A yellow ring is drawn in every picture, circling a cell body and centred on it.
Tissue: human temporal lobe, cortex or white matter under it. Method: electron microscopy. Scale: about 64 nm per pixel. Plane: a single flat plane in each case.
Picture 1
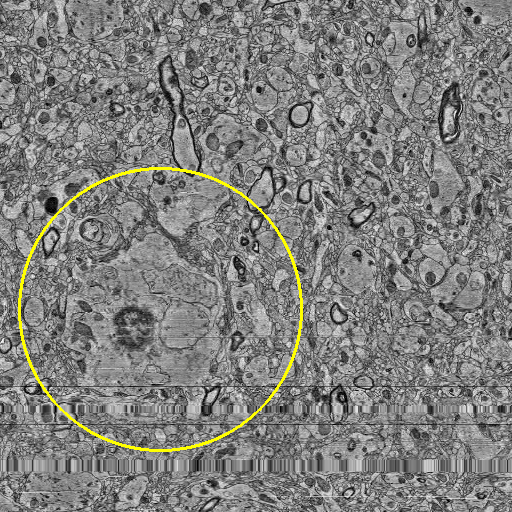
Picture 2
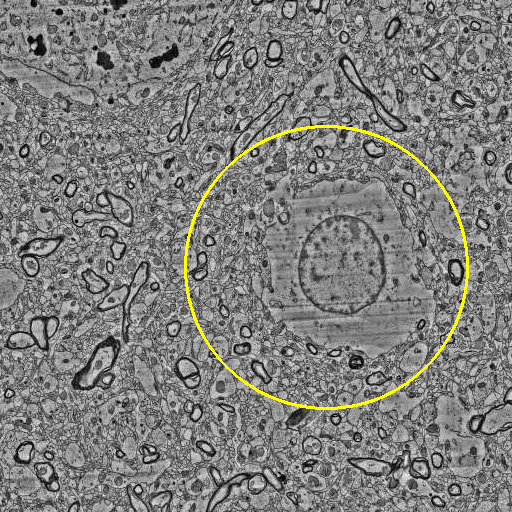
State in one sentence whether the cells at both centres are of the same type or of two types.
The cells at the two ring centres, one per picture, are of the same type.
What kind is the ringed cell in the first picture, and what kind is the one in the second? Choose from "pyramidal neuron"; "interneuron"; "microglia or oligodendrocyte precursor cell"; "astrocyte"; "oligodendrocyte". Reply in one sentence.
Each of the two rings is centred on an astrocyte.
